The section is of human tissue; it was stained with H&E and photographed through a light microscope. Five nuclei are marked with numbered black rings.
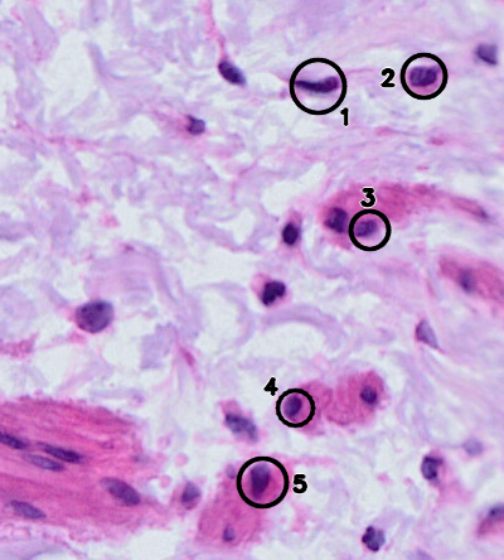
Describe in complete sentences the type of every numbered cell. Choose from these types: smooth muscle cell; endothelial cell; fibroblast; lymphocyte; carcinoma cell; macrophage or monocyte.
Cell 1 is a fibroblast, cell 2 is a macrophage or monocyte, cell 3 is a smooth muscle cell, cell 4 is a smooth muscle cell and cell 5 is a smooth muscle cell.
